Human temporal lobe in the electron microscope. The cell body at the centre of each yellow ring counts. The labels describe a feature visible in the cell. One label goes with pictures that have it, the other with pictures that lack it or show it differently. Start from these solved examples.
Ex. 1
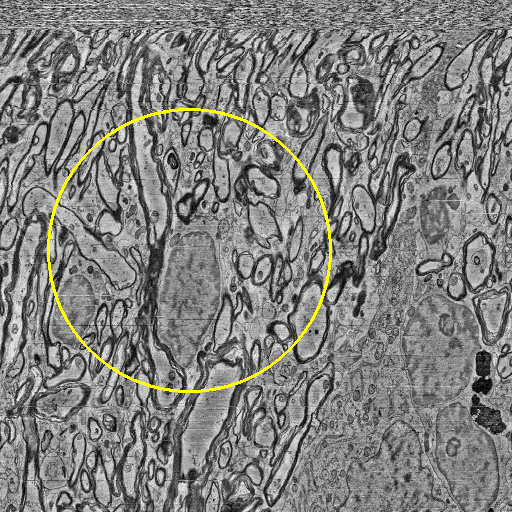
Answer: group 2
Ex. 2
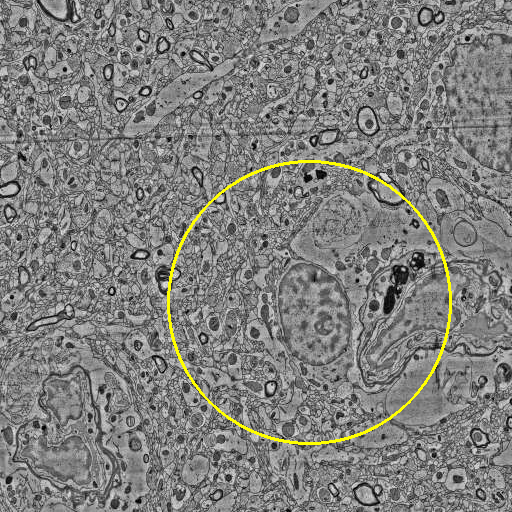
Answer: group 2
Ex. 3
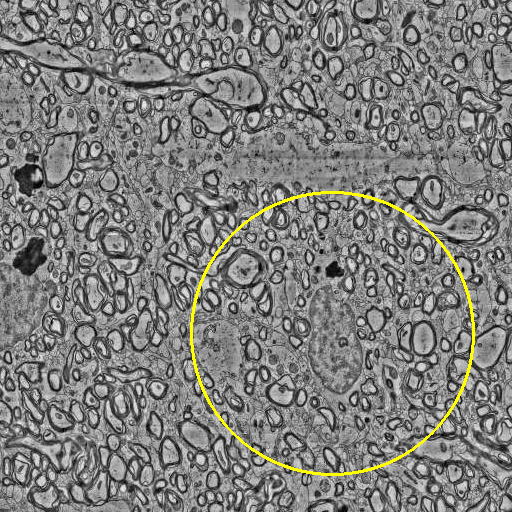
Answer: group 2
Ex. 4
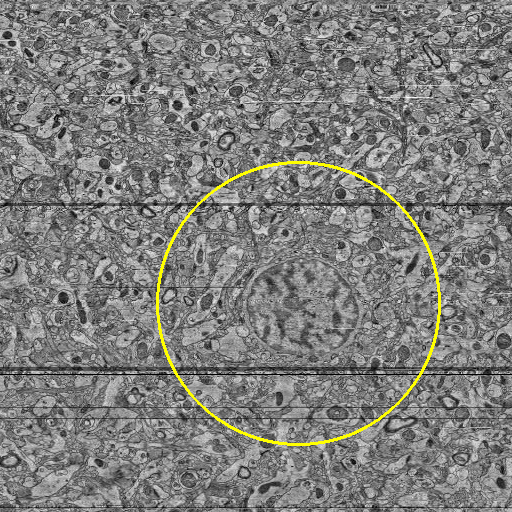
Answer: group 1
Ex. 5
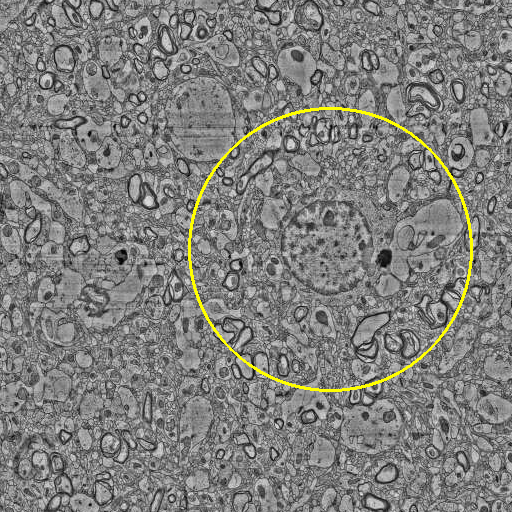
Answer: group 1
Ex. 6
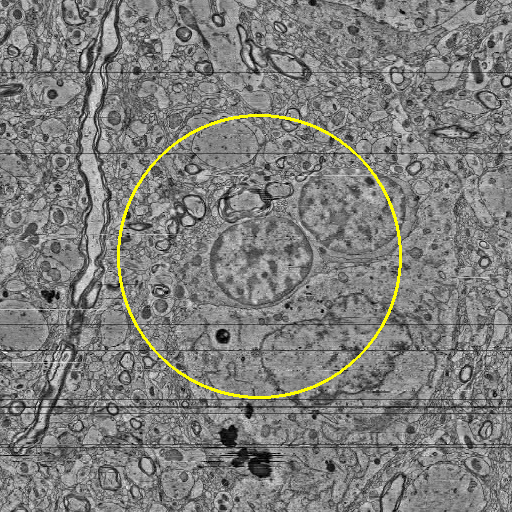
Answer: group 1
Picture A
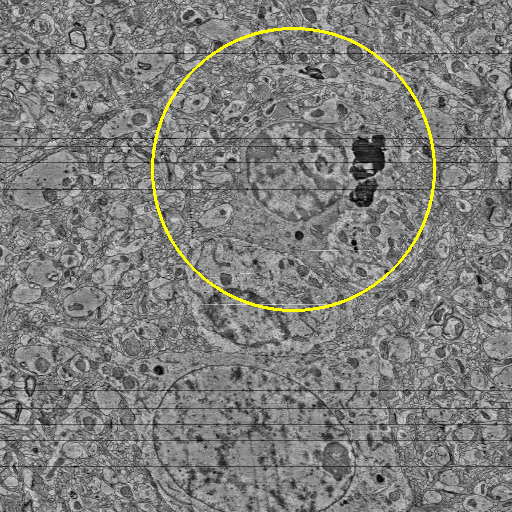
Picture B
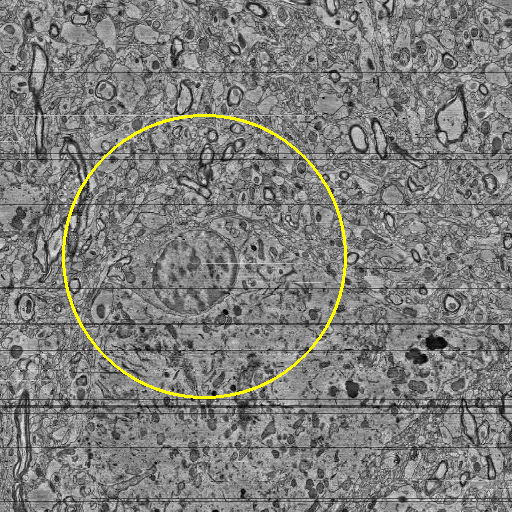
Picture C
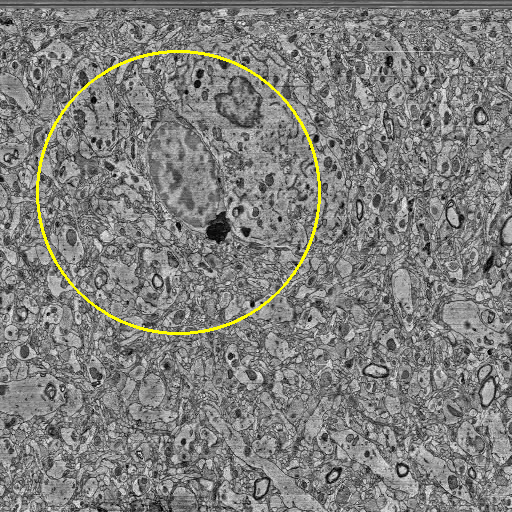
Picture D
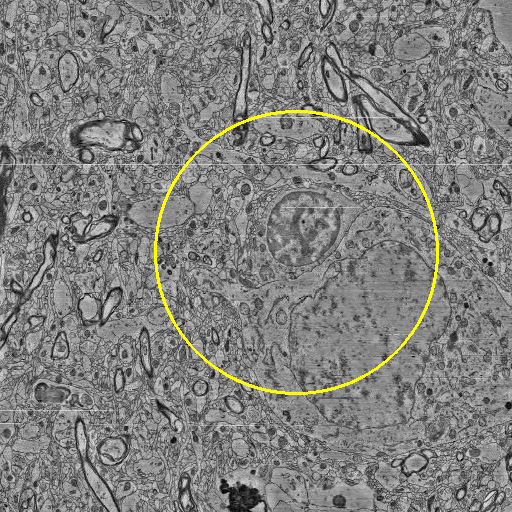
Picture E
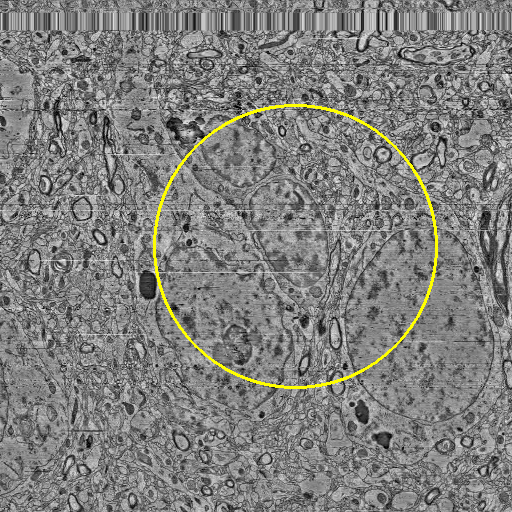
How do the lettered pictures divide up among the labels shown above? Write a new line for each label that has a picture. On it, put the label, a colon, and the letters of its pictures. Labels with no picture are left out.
group 2: C, E
group 1: A, B, D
